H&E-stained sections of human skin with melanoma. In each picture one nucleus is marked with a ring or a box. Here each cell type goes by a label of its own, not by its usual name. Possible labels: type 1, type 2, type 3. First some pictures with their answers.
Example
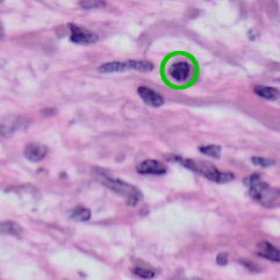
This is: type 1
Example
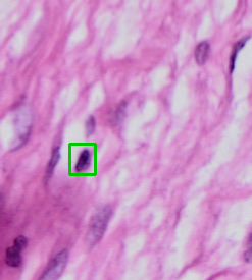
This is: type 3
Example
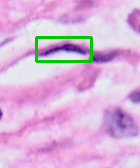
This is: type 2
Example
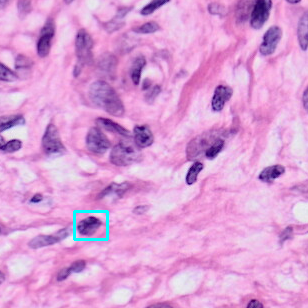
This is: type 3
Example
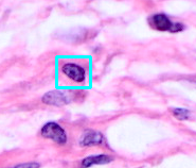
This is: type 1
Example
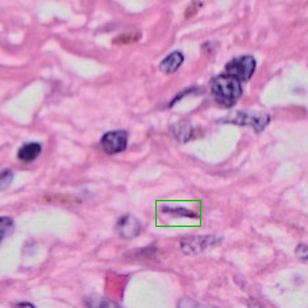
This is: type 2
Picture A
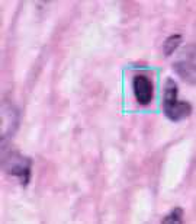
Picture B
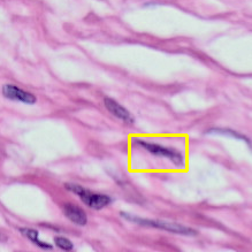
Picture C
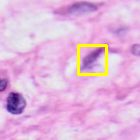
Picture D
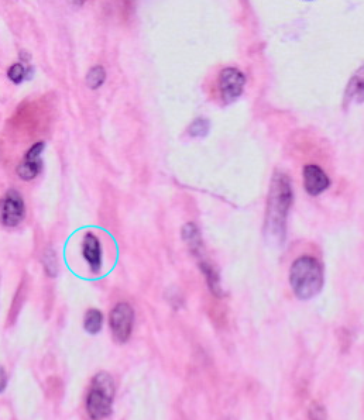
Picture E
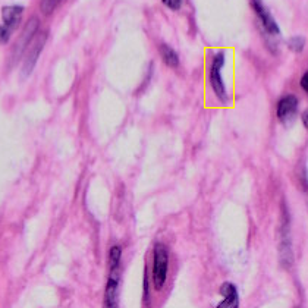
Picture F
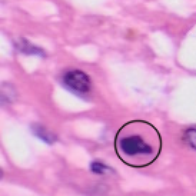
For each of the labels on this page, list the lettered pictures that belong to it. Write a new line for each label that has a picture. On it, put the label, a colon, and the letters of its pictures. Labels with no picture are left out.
type 1: A, F
type 2: B, C, E
type 3: D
